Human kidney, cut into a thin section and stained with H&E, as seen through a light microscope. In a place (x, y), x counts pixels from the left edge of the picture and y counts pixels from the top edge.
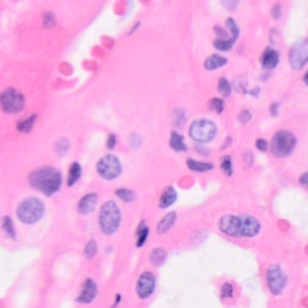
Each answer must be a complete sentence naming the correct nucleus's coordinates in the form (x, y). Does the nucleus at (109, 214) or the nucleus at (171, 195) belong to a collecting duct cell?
It is at (109, 214) that the nucleus of a collecting duct cell is found.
